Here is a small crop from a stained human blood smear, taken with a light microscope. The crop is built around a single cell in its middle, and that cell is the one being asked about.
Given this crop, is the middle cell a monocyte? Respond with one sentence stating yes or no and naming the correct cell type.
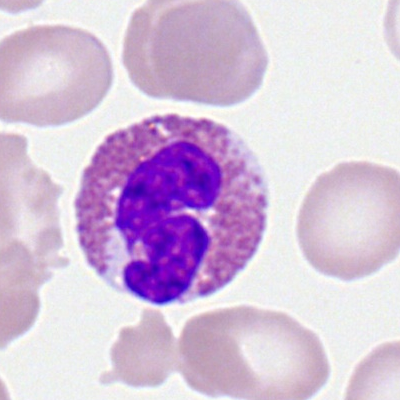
No, the centred cell is an eosinophil instead of a monocyte.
